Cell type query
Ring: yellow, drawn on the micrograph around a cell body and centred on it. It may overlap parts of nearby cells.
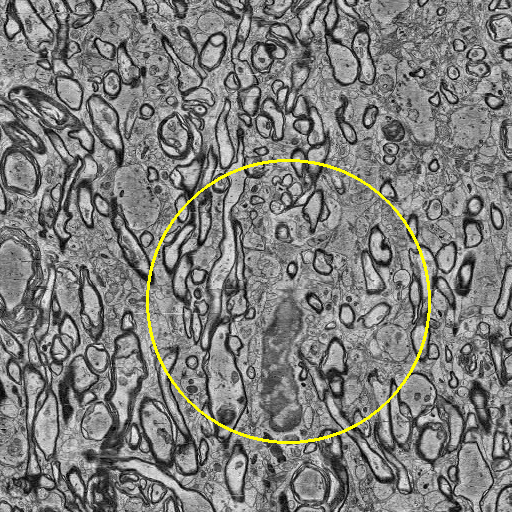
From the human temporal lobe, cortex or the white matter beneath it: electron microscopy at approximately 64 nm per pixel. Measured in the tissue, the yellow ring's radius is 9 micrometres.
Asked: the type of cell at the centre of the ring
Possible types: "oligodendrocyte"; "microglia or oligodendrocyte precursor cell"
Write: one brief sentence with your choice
The ring marks a microglial cell or oligodendrocyte precursor cell.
